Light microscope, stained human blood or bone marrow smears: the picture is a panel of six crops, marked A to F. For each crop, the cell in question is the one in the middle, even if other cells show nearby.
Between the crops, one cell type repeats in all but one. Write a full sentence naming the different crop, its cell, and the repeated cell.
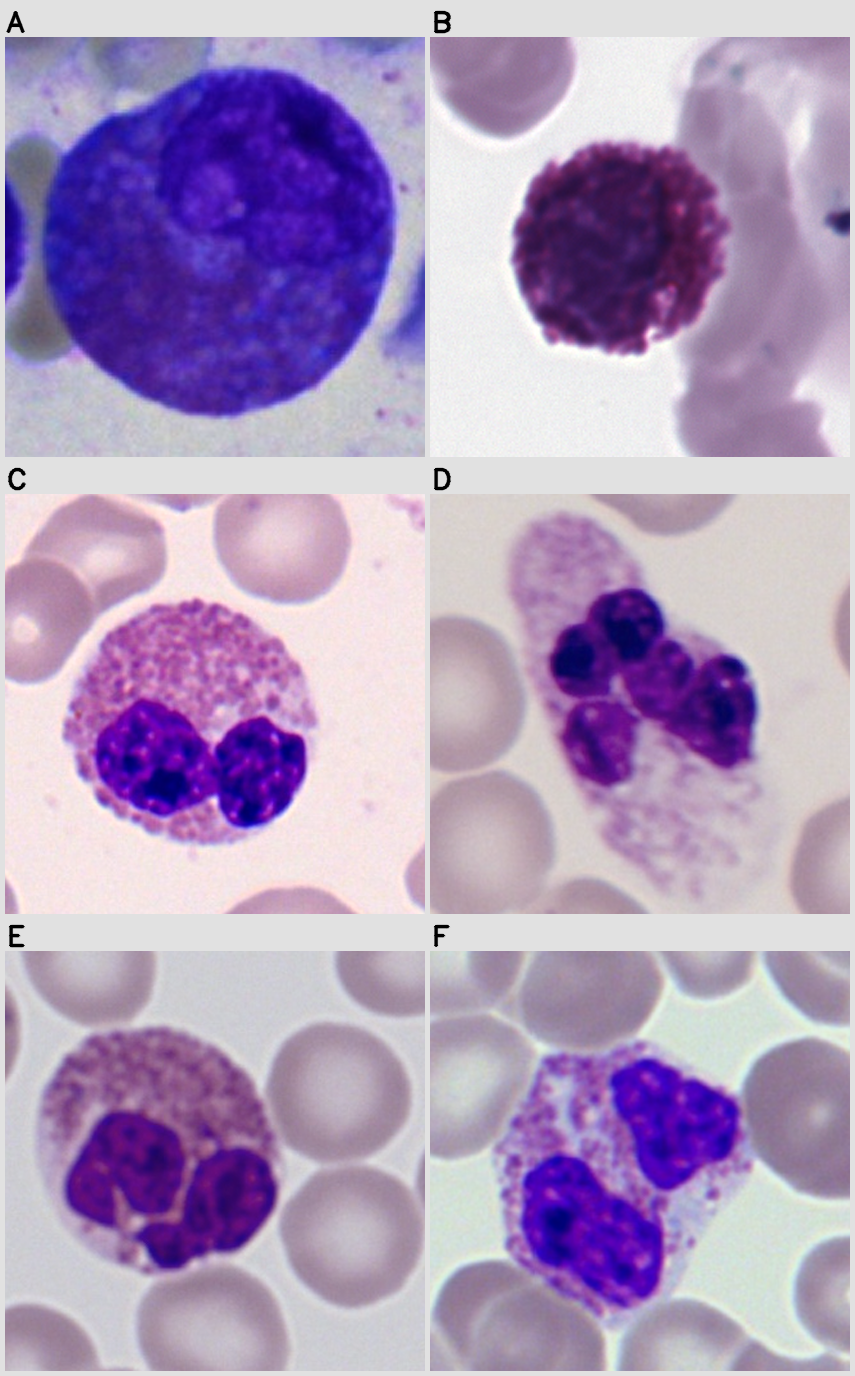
Crop D shows a segmented neutrophil; by contrast, all the other crops show eosinophils.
